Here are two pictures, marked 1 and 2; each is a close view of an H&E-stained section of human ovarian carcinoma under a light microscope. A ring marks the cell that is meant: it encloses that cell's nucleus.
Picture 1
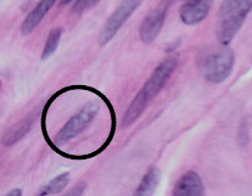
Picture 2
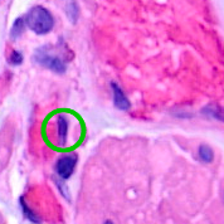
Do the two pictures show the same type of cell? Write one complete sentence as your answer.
No. Picture 1 shows a smooth muscle cell, but picture 2 shows an endothelial cell.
